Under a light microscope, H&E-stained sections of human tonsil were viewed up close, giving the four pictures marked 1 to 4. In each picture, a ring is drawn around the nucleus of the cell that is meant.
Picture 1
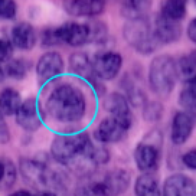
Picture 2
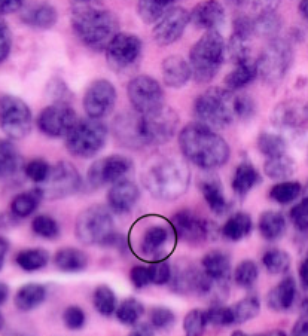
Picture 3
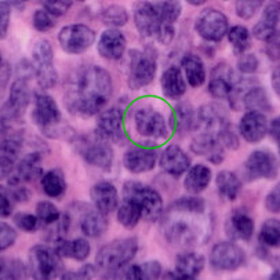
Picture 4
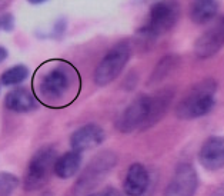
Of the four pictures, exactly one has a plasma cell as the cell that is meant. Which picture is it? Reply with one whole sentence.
It is picture 4 that shows the plasma cell.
